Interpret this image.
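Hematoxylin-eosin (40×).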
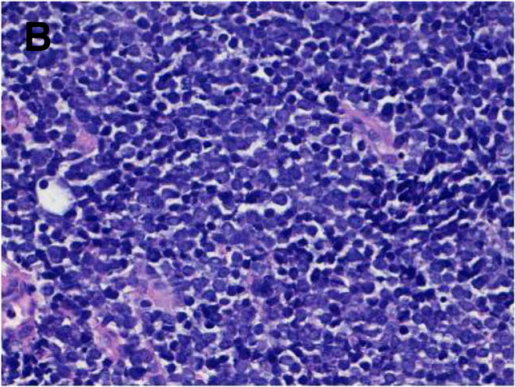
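Densely packed sheets of small round to oval cells with dark blue, closely crowded nuclei and very scant cytoplasm. The cells lie in a diffuse, solid arrangement with little intervening stroma, broken only by a few thin pink-staining vessels and small clear spaces.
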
